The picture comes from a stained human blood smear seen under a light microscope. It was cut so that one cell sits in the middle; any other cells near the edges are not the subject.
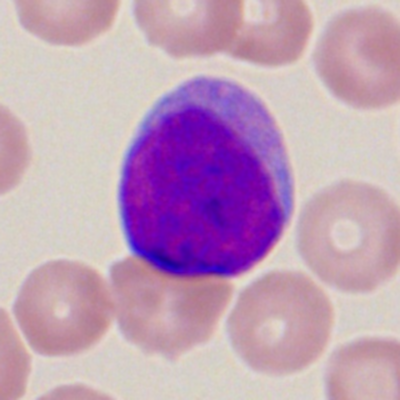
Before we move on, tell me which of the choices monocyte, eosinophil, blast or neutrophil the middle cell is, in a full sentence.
This crop is built around a blast at its centre.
